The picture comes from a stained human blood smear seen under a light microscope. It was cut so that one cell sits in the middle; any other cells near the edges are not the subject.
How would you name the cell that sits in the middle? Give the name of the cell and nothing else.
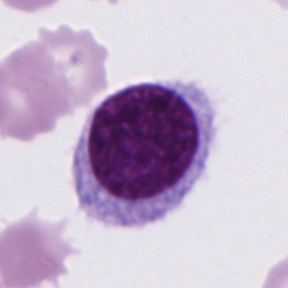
hairy cell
